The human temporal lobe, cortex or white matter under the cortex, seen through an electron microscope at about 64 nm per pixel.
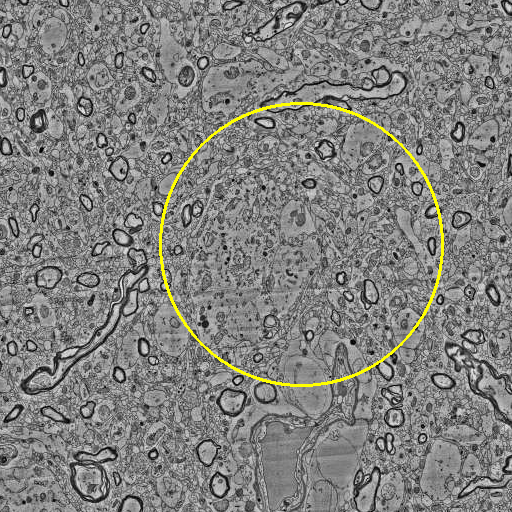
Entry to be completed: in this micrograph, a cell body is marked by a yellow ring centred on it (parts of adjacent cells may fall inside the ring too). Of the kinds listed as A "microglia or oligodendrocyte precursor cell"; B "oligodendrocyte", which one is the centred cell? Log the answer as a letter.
A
